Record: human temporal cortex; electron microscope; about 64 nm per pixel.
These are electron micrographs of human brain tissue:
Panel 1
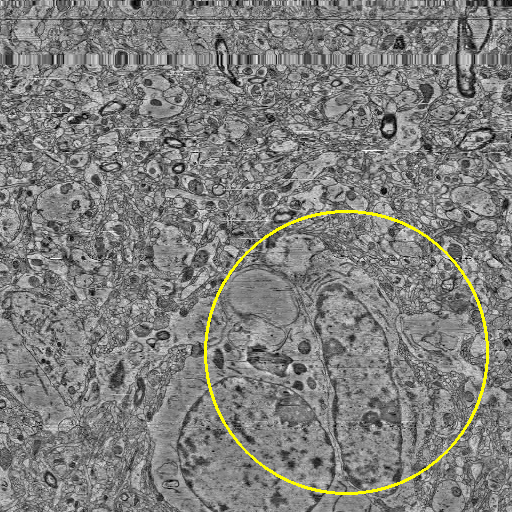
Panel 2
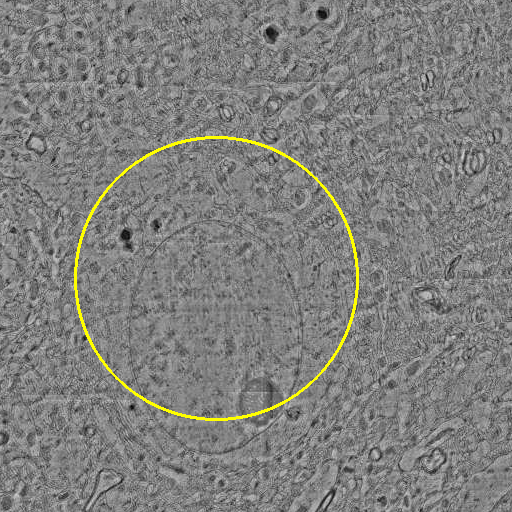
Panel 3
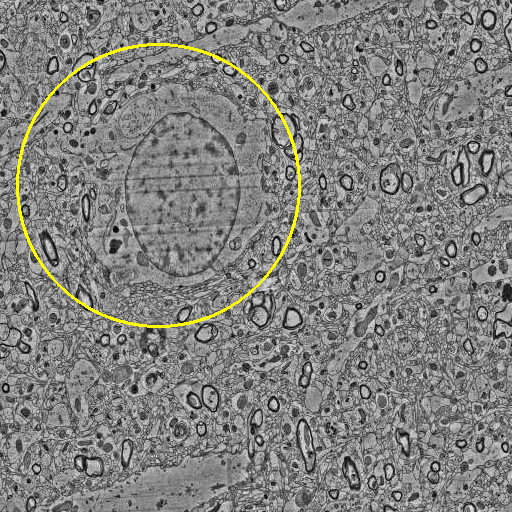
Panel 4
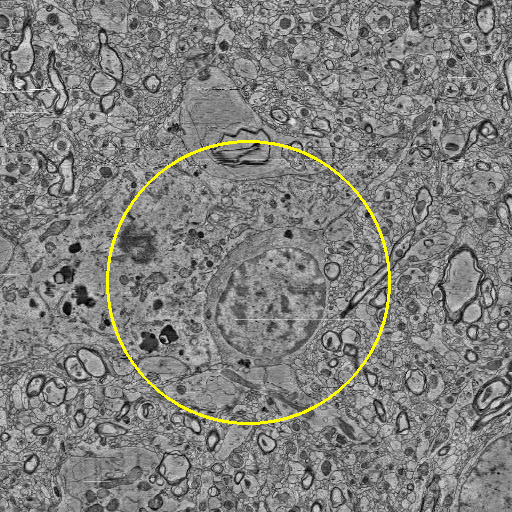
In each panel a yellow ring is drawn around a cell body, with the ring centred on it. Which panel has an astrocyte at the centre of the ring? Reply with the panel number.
3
